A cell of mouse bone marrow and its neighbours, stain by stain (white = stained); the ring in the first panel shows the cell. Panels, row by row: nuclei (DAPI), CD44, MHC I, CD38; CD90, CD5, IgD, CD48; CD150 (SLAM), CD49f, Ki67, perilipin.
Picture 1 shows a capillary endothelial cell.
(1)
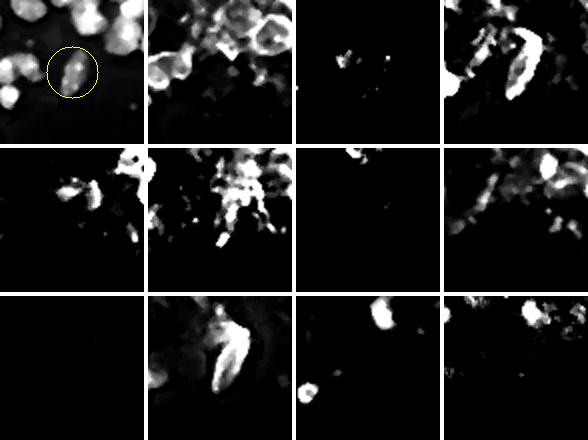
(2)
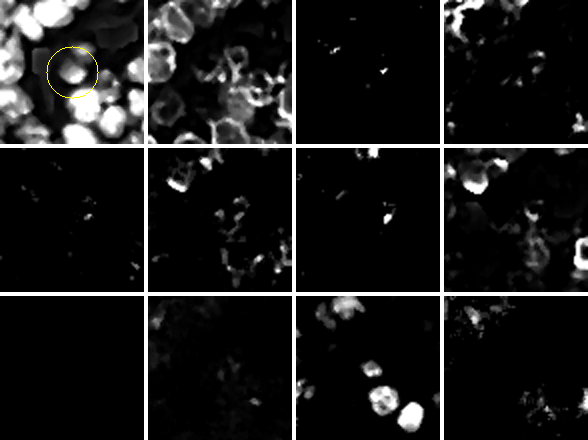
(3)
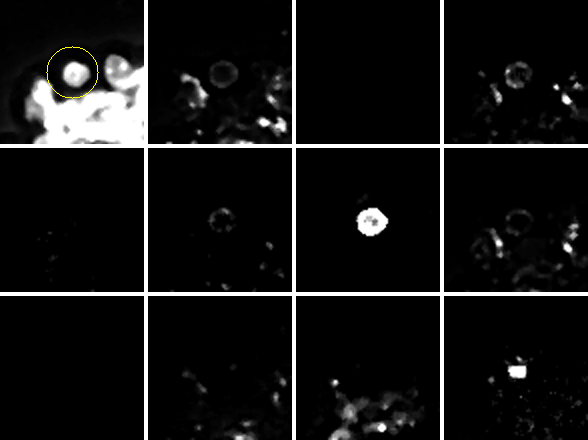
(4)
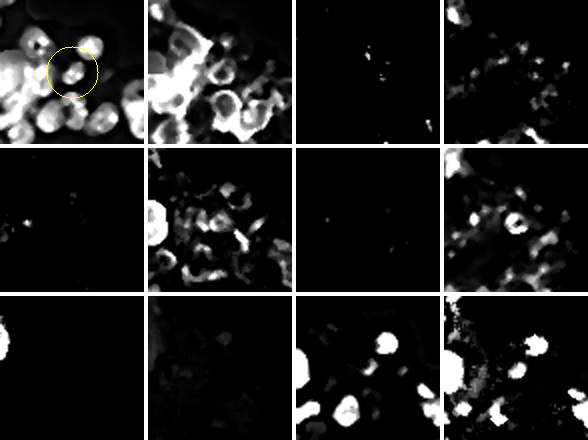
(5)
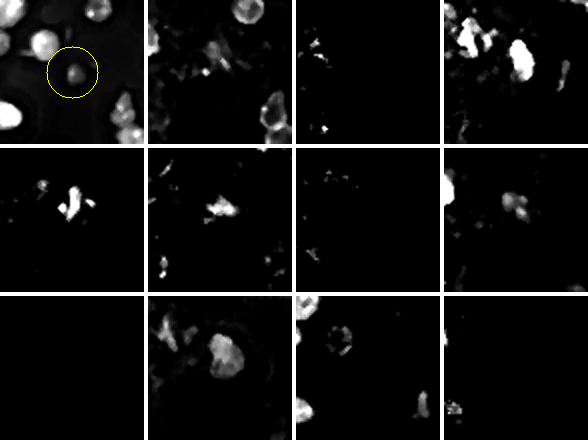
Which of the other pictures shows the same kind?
Picture 5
